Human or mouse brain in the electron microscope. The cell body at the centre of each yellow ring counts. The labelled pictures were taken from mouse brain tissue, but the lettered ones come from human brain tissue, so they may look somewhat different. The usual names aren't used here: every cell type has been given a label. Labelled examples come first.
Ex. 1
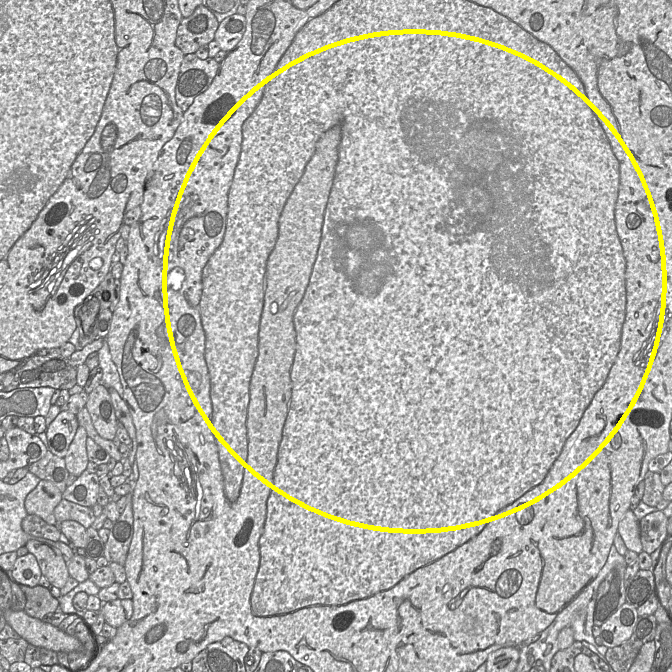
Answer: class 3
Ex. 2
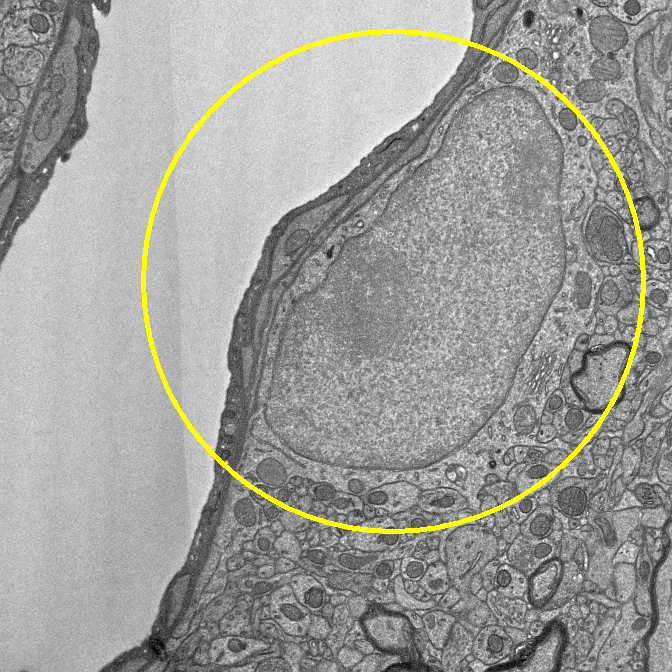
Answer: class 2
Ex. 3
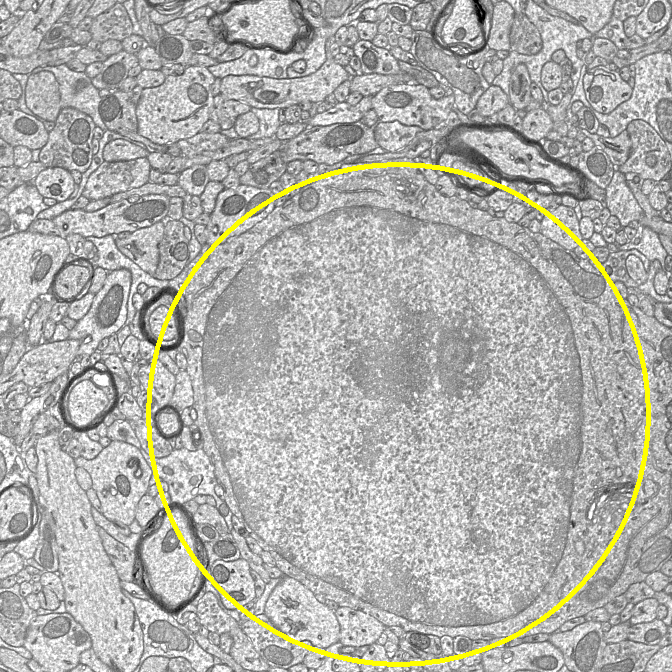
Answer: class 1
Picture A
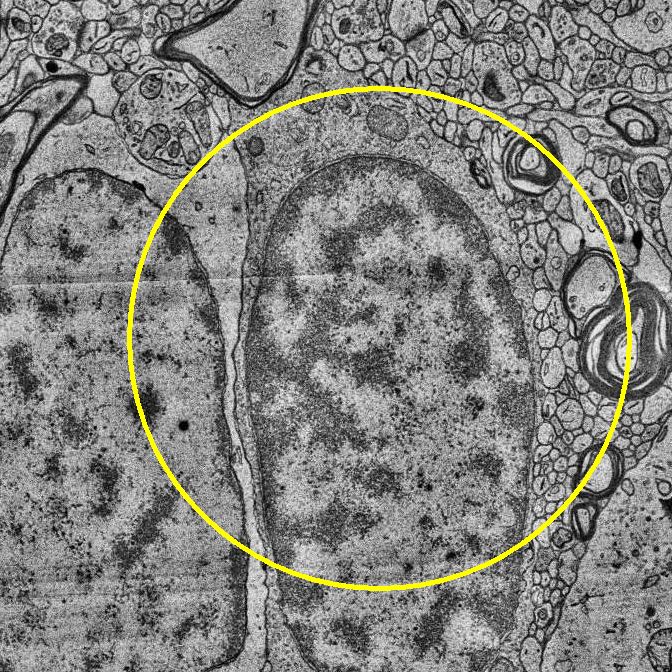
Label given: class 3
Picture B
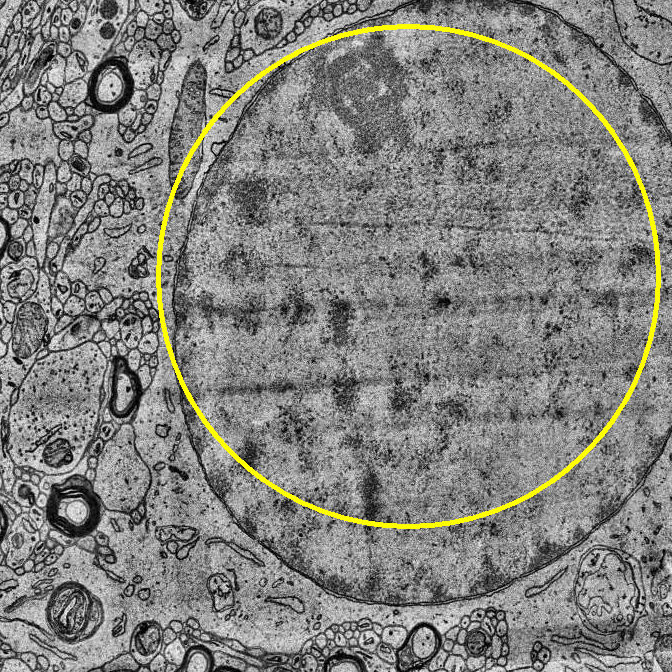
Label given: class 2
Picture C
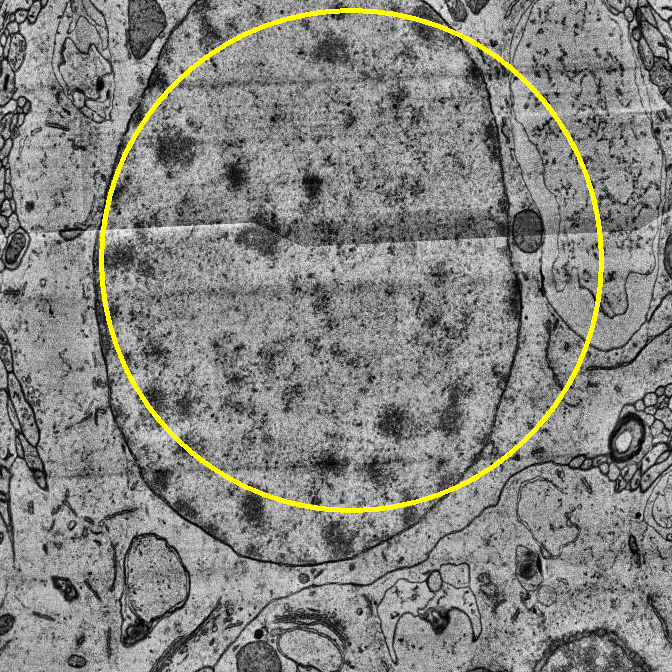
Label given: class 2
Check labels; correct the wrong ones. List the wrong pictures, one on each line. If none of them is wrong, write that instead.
A: change class 3 to class 1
